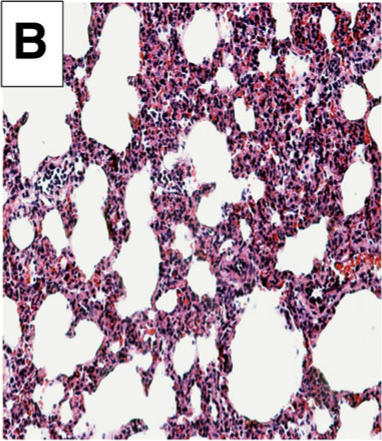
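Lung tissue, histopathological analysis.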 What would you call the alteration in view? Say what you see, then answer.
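The septa between air spaces are broad and densely packed with nuclei. Air spaces are fewer and smaller than the tissue between them. The answer: thickened alveolar walls.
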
